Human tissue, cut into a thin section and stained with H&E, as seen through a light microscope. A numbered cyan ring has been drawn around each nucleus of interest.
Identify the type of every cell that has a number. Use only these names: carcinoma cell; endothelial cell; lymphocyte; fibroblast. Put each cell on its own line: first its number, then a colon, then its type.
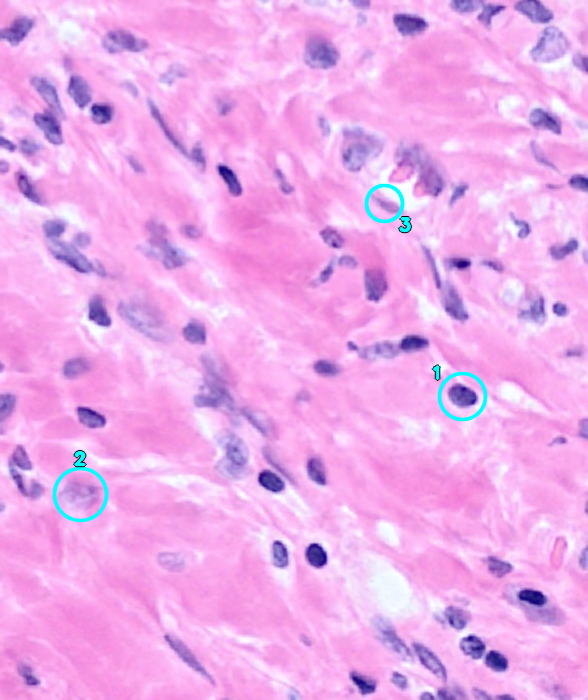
1: lymphocyte
2: fibroblast
3: endothelial cell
